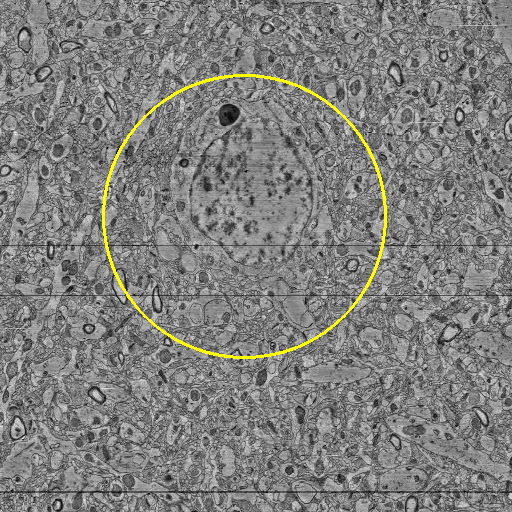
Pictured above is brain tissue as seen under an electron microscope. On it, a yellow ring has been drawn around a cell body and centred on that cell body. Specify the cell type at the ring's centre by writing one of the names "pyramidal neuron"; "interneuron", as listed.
interneuron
